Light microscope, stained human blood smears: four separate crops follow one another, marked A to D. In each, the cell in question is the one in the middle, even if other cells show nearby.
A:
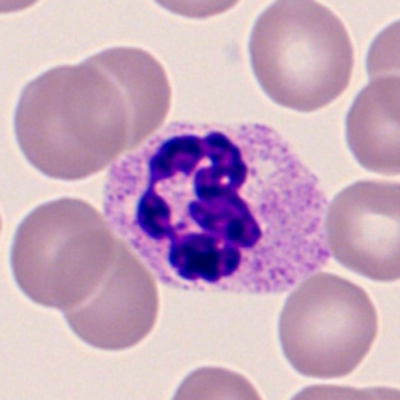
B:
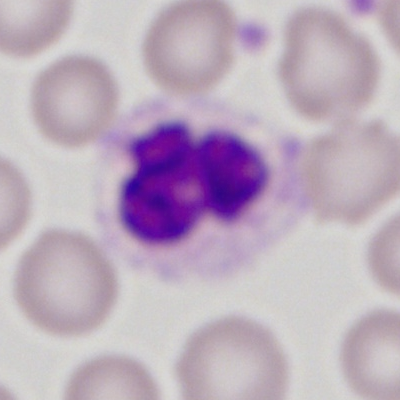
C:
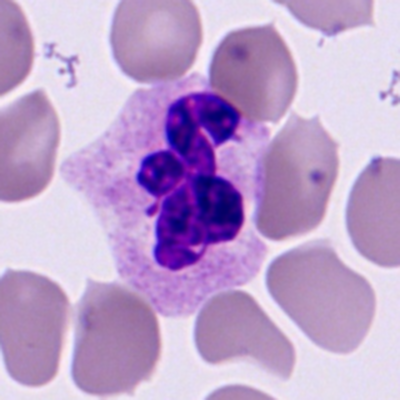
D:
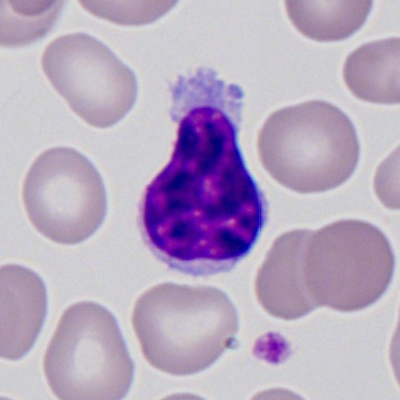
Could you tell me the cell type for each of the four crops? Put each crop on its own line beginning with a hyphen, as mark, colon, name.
- A: segmented neutrophil
- B: segmented neutrophil
- C: segmented neutrophil
- D: lymphocyte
